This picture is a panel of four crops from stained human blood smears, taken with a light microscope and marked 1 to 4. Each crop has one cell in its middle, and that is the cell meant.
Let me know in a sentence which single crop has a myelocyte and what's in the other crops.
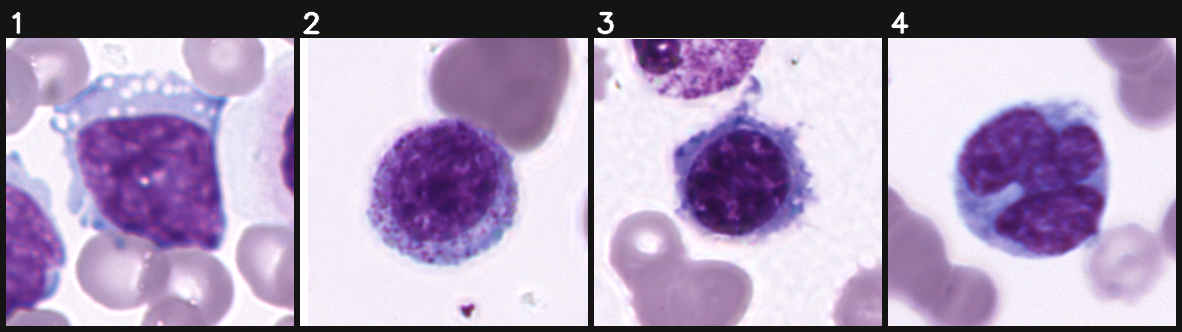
The cell occupying crop 2 is a myelocyte, whereas crop 1 is a myeloblast, crop 3 is a plasma cell and crop 4 is a monocyte.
